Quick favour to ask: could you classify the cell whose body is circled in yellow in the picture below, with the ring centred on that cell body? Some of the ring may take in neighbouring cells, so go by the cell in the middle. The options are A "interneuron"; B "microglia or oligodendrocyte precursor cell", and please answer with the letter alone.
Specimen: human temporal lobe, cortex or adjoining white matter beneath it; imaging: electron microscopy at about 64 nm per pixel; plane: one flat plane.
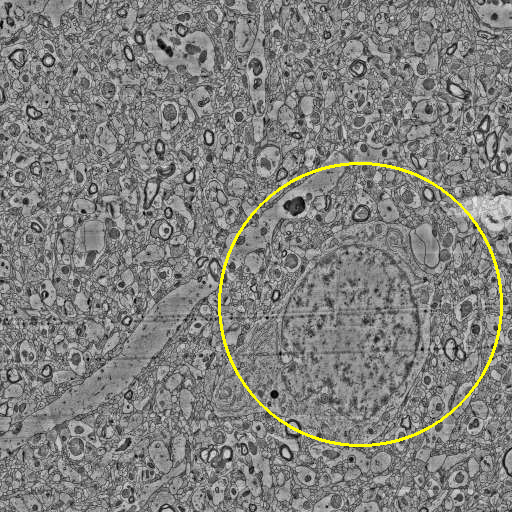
A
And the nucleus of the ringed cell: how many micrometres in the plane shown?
In this plane the nucleus measures roughly 11 by 9 micrometers.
